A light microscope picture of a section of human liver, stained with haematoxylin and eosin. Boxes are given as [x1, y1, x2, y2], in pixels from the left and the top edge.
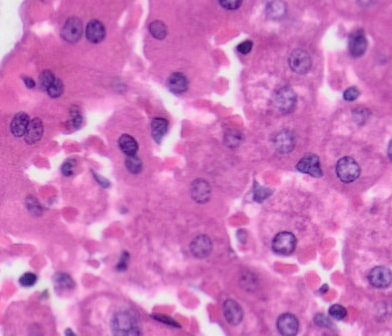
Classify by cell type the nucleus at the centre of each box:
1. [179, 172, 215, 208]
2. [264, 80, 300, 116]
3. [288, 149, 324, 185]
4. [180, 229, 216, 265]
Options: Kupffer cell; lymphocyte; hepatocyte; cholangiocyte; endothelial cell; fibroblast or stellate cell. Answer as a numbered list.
1. hepatocyte
2. hepatocyte
3. endothelial cell
4. hepatocyte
